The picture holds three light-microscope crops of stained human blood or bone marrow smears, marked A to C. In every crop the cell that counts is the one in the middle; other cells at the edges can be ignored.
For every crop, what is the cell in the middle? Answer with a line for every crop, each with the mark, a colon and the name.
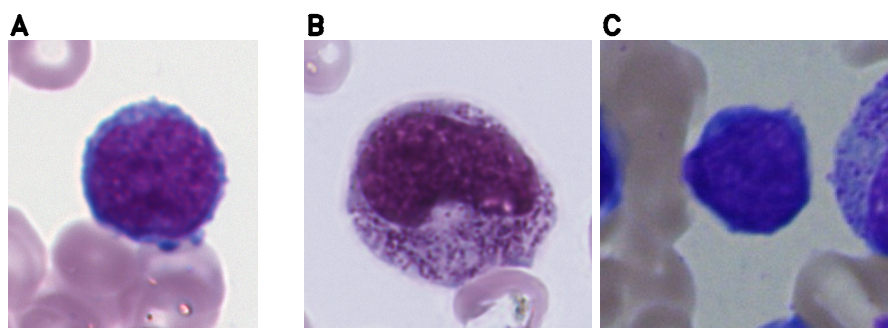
A: blast
B: myelocyte
C: lymphocyte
